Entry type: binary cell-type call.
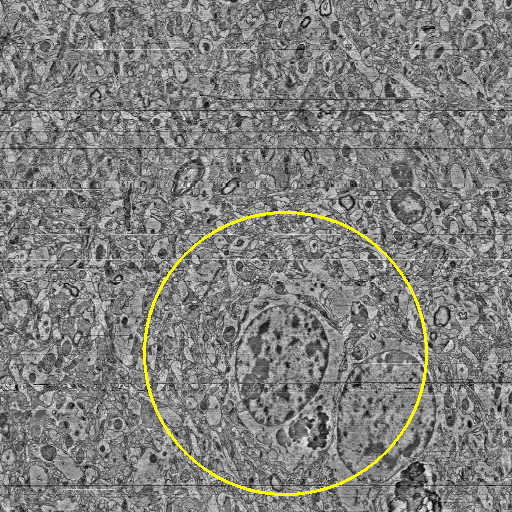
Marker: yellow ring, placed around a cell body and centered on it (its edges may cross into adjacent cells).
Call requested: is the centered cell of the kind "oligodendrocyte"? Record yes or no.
no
